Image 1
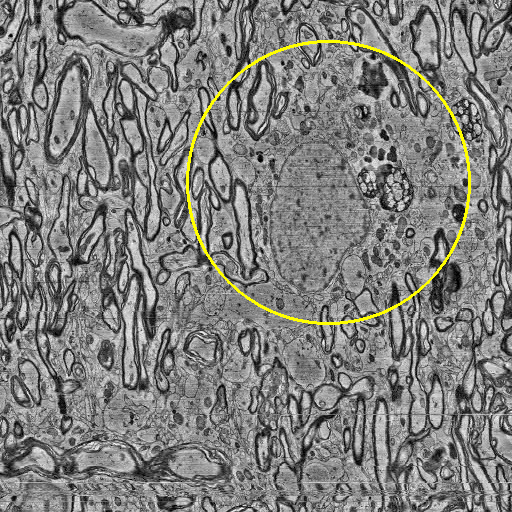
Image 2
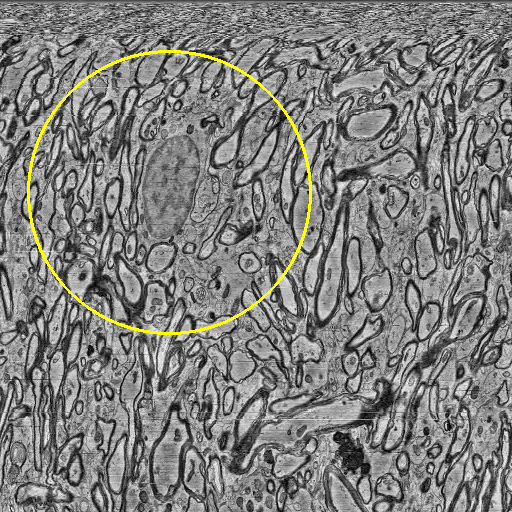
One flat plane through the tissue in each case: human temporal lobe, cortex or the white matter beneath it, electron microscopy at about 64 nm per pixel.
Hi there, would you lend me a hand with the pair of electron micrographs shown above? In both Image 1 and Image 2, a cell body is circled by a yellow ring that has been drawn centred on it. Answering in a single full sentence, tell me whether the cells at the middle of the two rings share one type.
No, the ringed cells in Image 1 and Image 2 belong to two types.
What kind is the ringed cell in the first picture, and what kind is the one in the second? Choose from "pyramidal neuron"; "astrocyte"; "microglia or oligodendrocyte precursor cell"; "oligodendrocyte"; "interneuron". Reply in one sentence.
The first cell is an astrocyte; the second is an oligodendrocyte.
